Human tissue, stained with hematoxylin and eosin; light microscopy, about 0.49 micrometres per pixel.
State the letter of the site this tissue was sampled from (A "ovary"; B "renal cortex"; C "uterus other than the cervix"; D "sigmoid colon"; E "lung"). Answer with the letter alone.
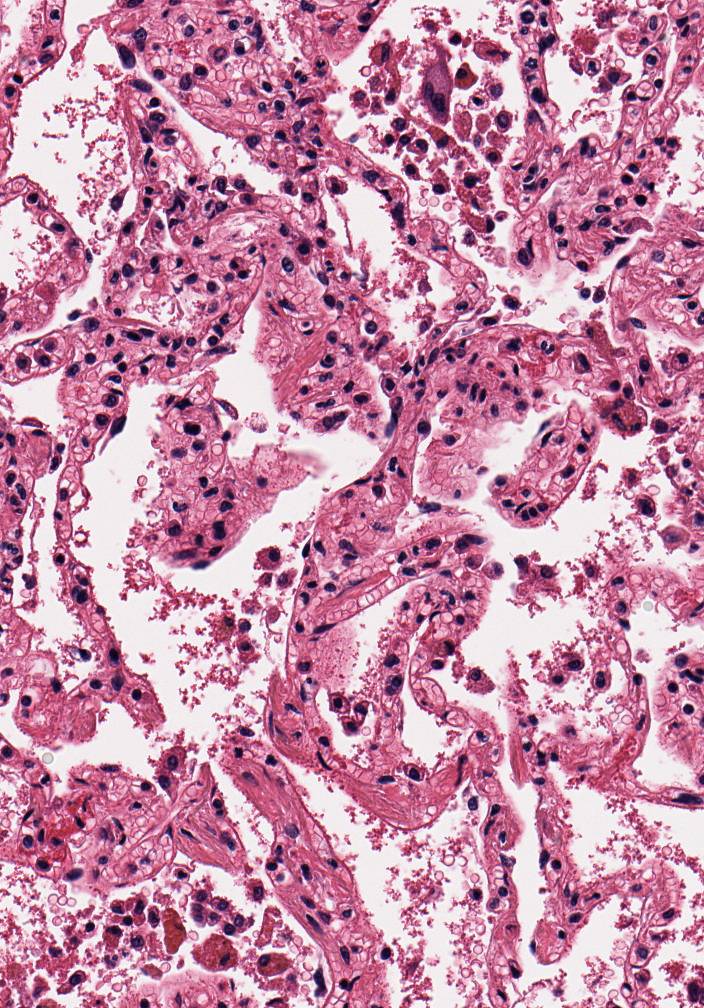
E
